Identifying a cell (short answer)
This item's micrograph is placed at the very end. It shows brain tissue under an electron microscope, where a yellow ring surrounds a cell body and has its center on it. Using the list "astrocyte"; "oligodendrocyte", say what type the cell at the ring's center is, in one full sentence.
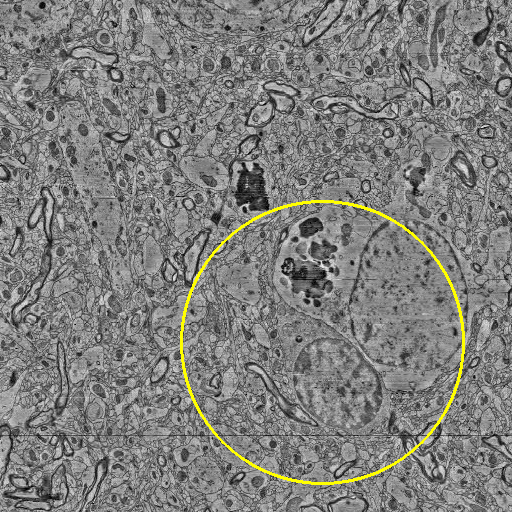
This picture shows an oligodendrocyte at the center of the yellow ring drawn on it.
